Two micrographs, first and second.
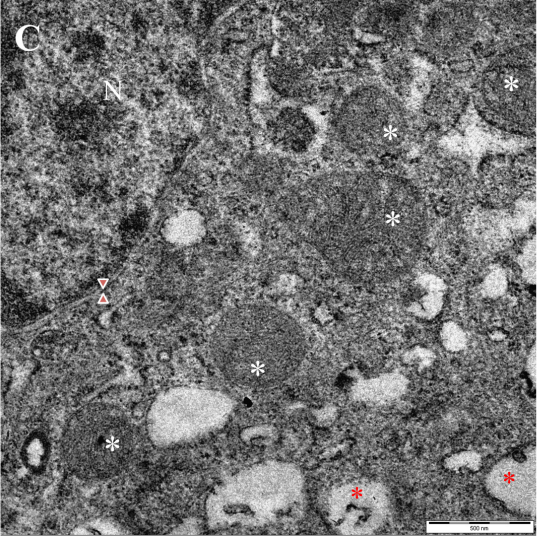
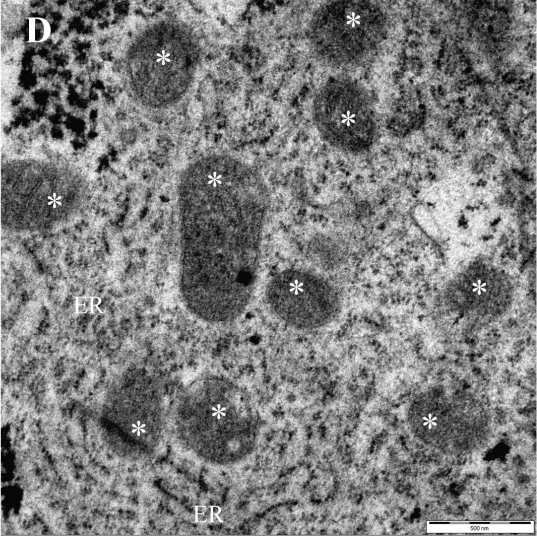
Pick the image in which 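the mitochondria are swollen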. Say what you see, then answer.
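Second image: mitochondria are compact oval or elongated bodies with a dense matrix. So: the first image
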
